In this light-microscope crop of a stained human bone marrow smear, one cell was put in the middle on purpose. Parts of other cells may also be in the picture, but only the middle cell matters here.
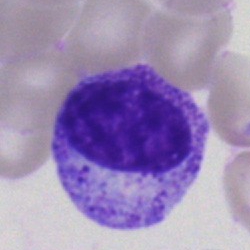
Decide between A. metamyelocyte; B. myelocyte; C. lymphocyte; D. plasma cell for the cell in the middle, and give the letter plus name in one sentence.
The middle of the crop holds a myelocyte, which points to option B.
